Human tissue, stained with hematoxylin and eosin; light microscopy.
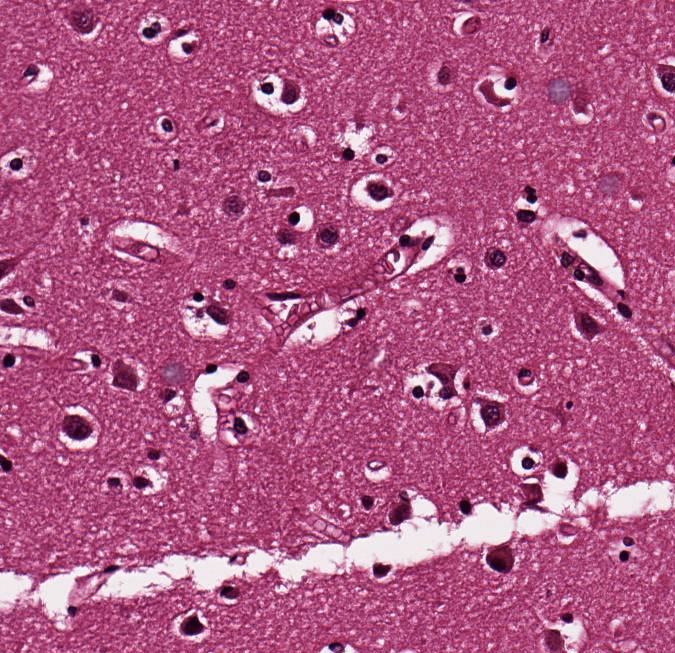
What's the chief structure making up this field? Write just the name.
cerebral cortex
